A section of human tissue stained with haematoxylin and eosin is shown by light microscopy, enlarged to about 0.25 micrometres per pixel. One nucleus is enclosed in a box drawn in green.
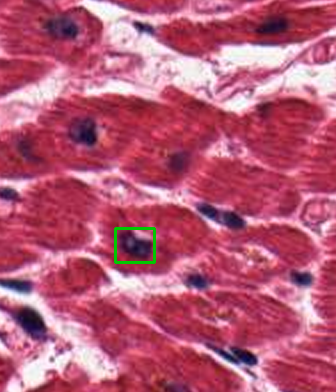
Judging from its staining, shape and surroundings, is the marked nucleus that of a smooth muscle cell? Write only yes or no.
no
